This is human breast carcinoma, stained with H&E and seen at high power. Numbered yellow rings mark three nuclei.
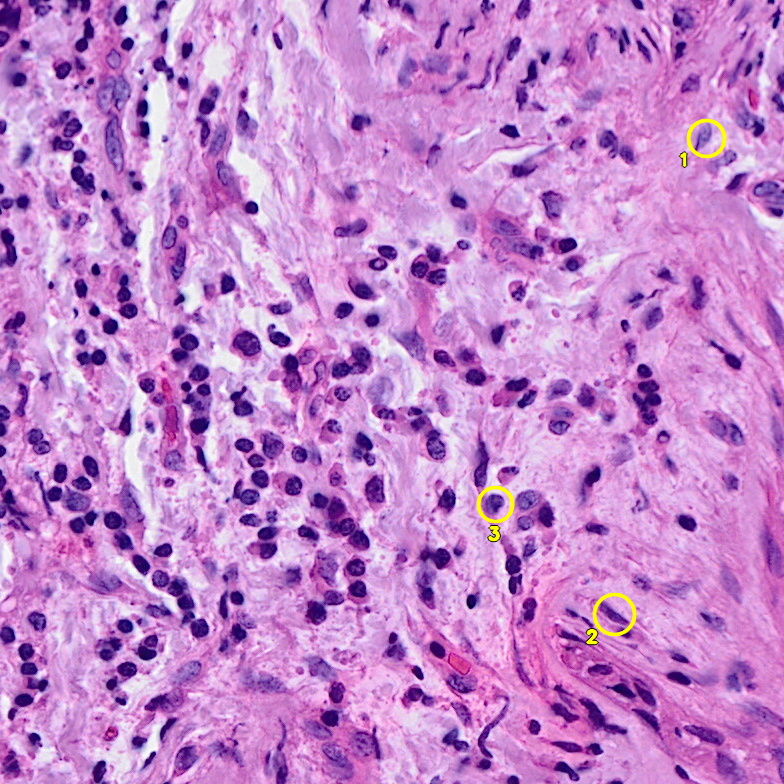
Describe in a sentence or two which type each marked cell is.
Cell 1 is a fibroblast, cell 2 is a fibroblast and cell 3 is a lymphocyte.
